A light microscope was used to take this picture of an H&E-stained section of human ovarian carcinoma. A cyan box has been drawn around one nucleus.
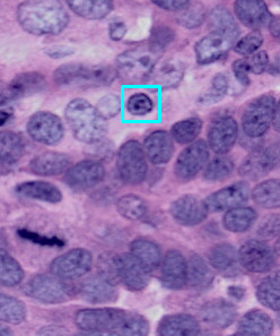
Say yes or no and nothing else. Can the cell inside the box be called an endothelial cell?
no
